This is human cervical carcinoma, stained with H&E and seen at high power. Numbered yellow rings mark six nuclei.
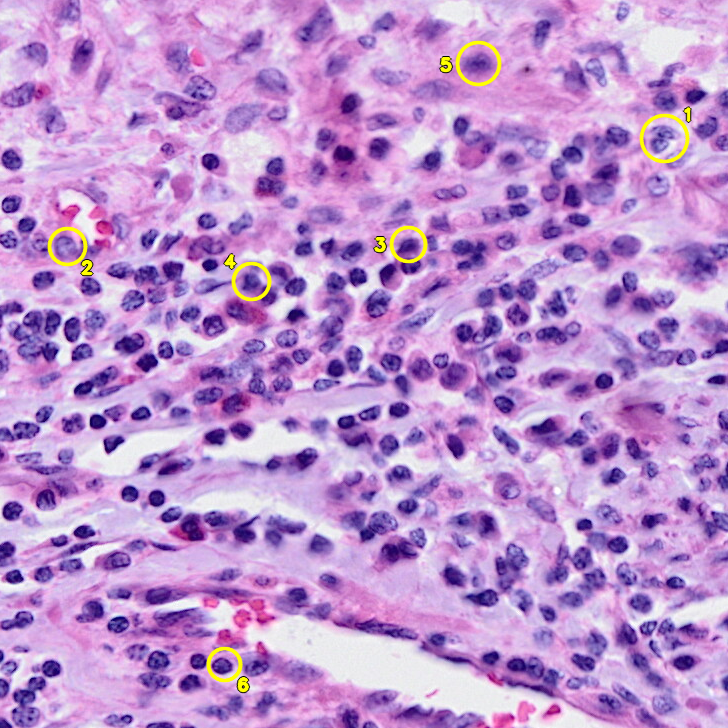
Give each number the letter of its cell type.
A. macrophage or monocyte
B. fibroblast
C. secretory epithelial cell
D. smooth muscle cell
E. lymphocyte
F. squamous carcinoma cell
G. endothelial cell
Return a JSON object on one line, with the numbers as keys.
{"1": "E", "2": "G", "3": "E", "4": "E", "5": "G", "6": "E"}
